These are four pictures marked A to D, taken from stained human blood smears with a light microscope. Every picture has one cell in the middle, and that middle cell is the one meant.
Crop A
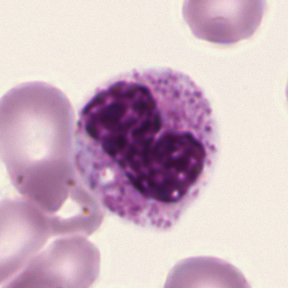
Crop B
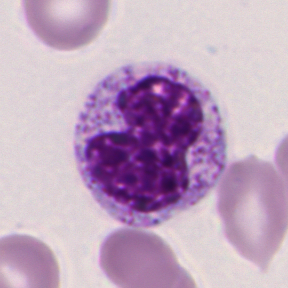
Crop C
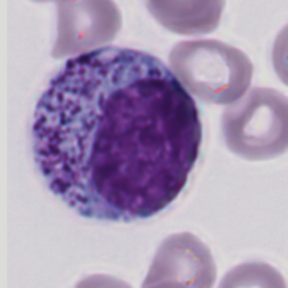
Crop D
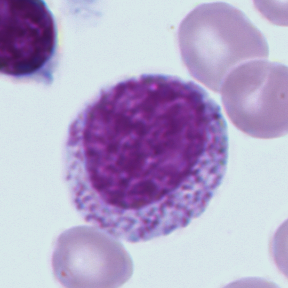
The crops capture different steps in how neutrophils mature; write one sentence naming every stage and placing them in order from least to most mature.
The maturation order of the crops, earliest to latest, is crop C (a promyelocyte), crop D (a myelocyte), crop B (a metamyelocyte) and crop A (a band neutrophil).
